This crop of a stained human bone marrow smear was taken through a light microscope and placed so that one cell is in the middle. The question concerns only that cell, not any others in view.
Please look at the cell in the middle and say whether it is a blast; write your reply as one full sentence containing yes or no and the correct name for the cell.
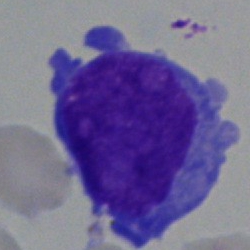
Yes, the cell centred in the field of view is a blast.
